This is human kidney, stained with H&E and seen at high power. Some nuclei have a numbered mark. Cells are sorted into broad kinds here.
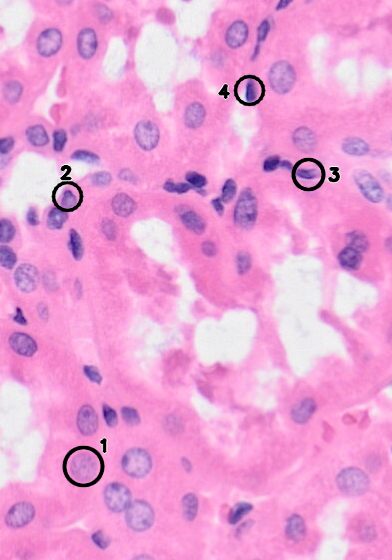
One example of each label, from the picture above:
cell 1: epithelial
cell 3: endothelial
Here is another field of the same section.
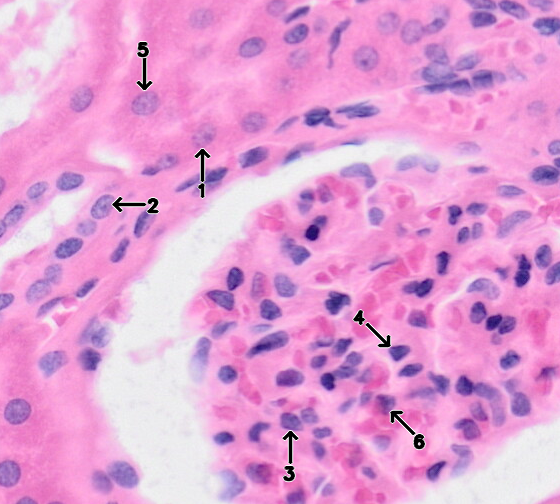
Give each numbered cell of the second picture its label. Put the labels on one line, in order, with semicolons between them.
epithelial; epithelial; endothelial; endothelial; epithelial; endothelial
